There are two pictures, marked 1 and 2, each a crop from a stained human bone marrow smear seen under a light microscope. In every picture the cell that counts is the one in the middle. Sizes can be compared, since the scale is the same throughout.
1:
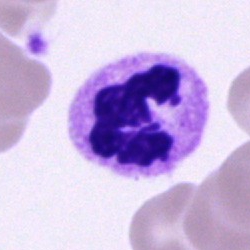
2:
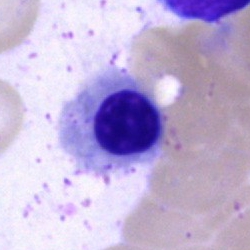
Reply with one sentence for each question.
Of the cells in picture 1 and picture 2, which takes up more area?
It is the cell in picture 1, about 1.5 times as large in area as the cell in picture 2.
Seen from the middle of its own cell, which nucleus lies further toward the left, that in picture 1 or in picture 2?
Seen within its cell, the nucleus in picture 1 lies further toward the left.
